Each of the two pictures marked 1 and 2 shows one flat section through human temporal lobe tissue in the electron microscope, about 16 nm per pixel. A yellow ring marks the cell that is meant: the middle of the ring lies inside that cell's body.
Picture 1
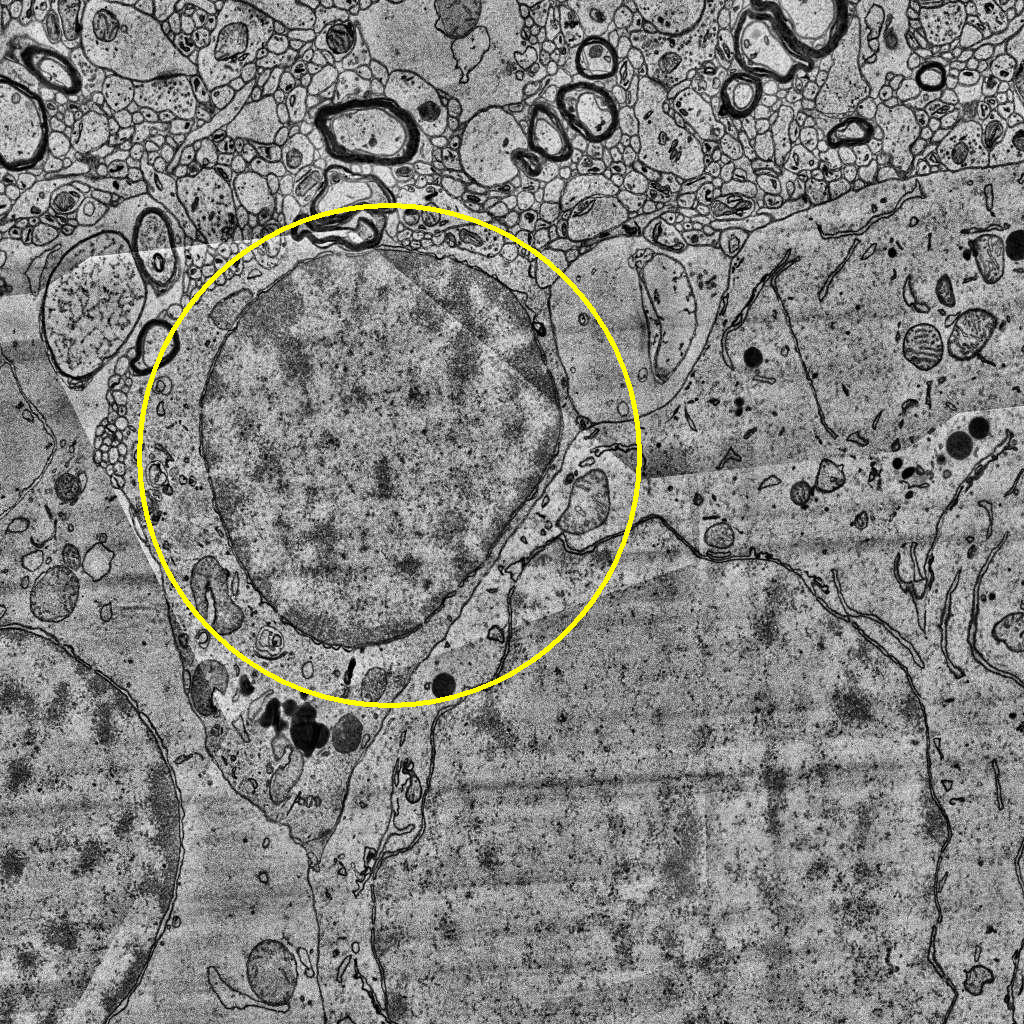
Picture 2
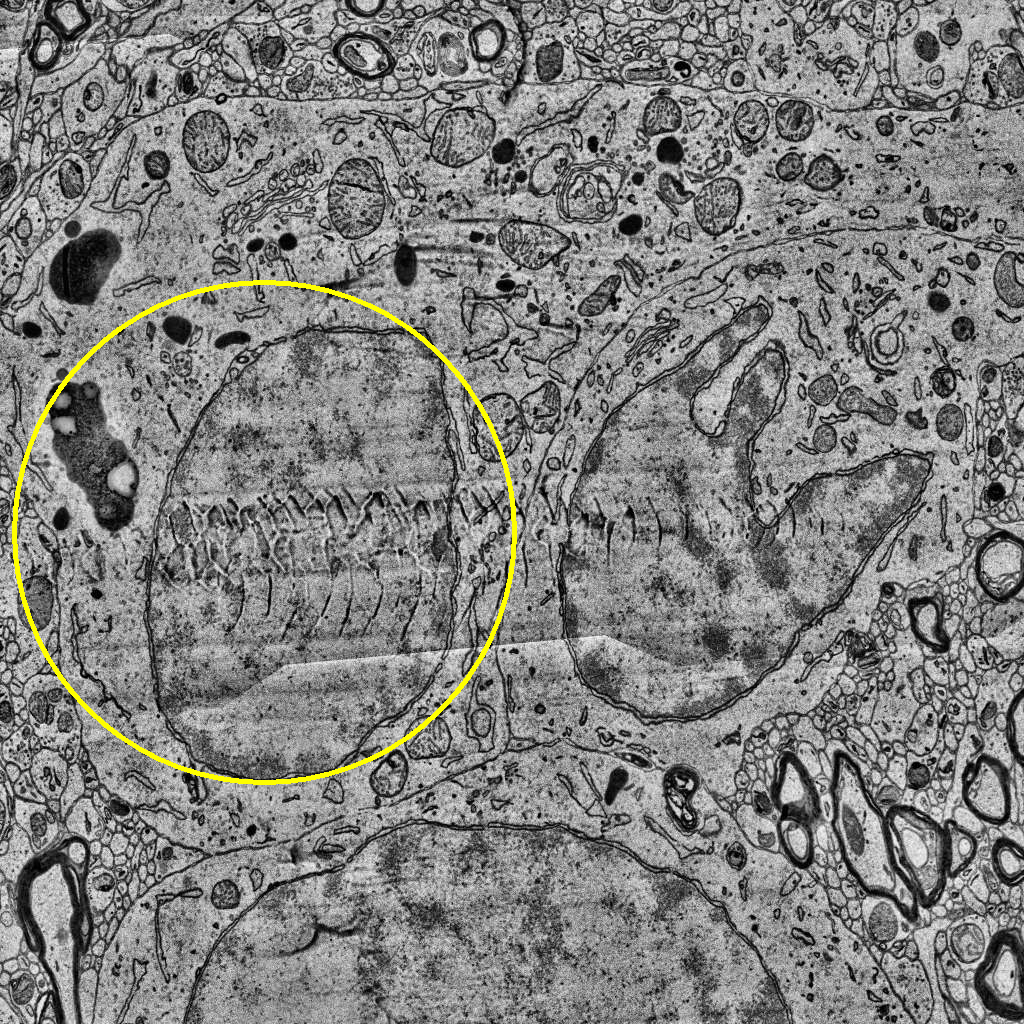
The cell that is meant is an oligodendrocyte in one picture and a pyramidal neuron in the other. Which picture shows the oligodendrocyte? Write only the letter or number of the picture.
1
